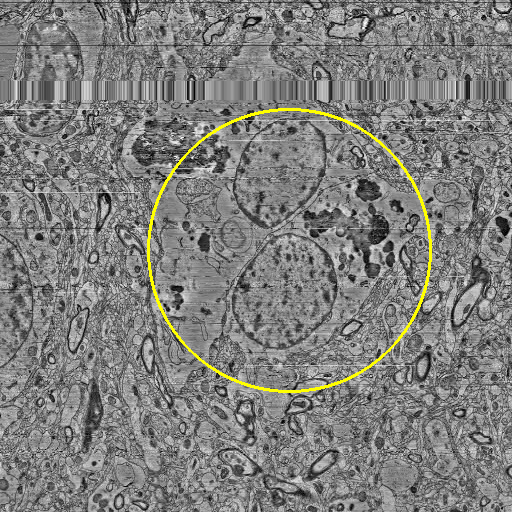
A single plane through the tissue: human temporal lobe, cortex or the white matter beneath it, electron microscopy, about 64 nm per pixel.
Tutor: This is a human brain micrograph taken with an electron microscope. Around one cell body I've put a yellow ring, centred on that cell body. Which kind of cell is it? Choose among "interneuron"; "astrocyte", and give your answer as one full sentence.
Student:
Going by your list, the cell centred in the yellow ring is an astrocyte.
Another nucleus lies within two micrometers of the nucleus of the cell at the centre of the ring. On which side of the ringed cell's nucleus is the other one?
That other nucleus appears above it.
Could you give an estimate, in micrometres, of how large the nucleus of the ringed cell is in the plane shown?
Approximately 8 by 6 micrometers in this plane.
